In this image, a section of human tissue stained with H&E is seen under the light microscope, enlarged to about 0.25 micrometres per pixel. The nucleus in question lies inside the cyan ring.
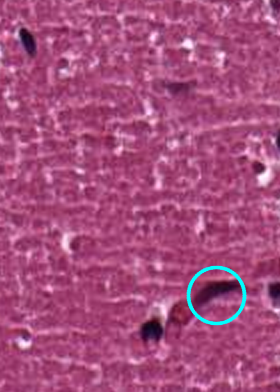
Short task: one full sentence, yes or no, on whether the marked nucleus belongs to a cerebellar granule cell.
No, instead of being part of a cerebellar granule cell, the marked nucleus is part of a supporting cell.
